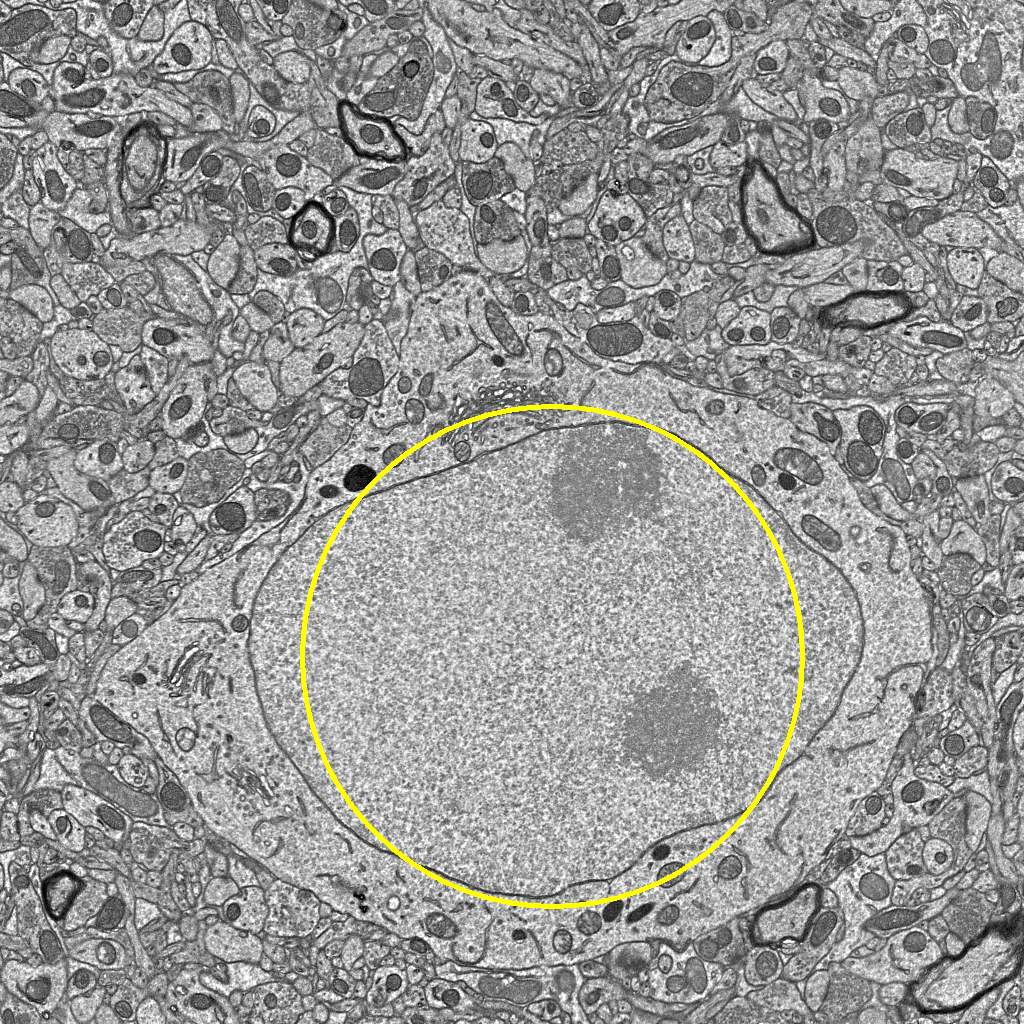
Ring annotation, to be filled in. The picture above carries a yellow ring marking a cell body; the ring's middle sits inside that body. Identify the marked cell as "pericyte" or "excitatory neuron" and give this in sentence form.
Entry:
The cell at the middle of the ring is an excitatory neuron.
